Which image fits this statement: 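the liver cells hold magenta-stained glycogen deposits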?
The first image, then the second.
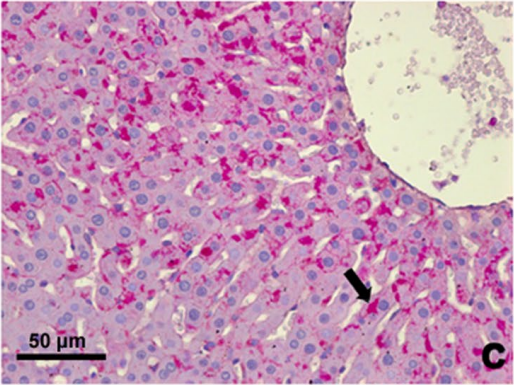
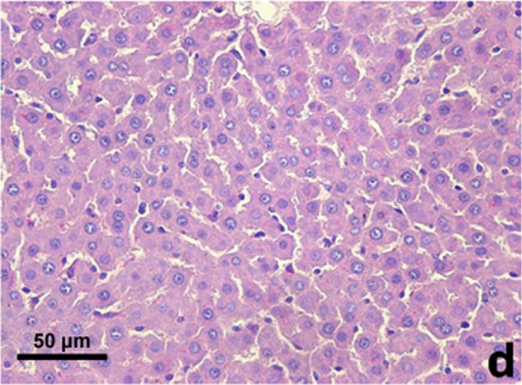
The first image.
